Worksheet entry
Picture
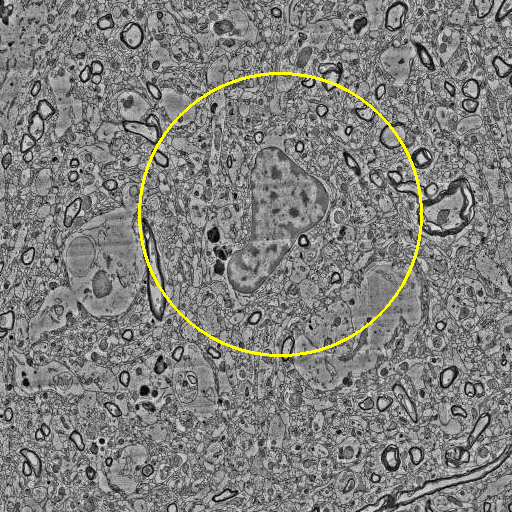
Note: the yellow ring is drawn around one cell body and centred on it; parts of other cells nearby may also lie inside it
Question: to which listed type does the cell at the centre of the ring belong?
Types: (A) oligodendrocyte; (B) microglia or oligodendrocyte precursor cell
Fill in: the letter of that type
B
